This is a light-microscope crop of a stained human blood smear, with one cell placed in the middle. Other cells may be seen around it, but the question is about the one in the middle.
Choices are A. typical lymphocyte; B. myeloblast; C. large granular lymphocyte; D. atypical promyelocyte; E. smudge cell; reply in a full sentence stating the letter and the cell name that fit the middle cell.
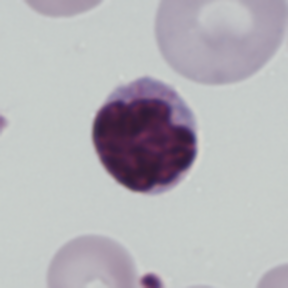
Option C is correct in naming the middle cell a large granular lymphocyte.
